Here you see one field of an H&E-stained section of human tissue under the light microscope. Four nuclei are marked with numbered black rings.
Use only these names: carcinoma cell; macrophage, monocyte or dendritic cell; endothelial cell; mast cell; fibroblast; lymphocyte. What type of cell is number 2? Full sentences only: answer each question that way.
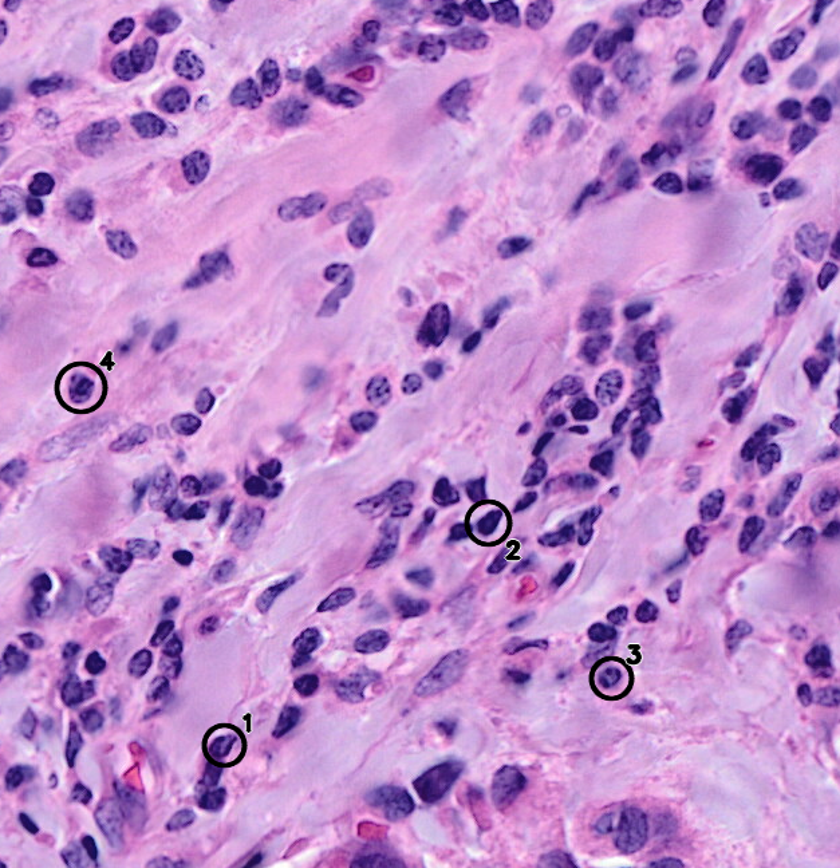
The cell marked with number 2 is a lymphocyte.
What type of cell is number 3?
Here the cell numbered 3 is a mast cell.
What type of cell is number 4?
The expected answer is that cell 4 is a lymphocyte.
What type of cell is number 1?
The numeral 1 marks a lymphocyte in this section.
